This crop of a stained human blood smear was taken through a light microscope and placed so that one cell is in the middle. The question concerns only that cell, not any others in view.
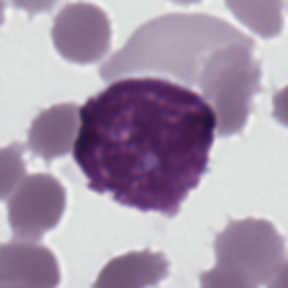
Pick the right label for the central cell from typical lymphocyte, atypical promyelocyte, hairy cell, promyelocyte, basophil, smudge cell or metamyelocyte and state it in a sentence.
What the crop centres on is a smudge cell.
